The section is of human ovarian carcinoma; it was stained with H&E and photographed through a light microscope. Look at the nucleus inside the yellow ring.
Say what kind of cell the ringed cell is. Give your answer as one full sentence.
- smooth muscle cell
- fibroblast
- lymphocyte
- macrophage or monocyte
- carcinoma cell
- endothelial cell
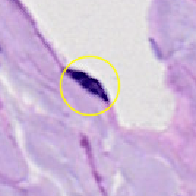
As for its identity, the ringed cell is an endothelial cell.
